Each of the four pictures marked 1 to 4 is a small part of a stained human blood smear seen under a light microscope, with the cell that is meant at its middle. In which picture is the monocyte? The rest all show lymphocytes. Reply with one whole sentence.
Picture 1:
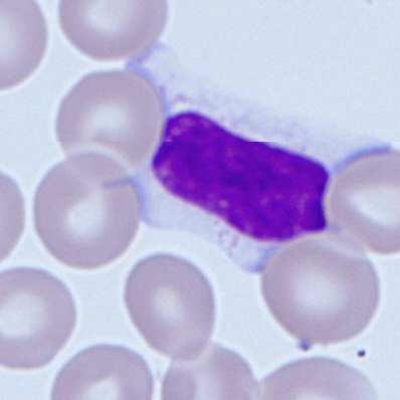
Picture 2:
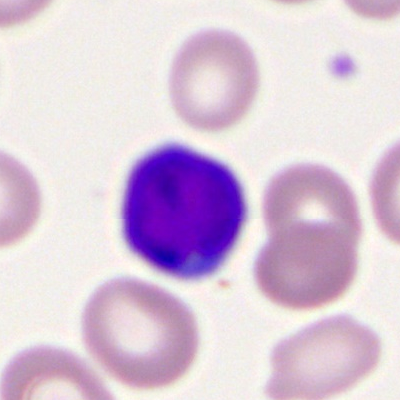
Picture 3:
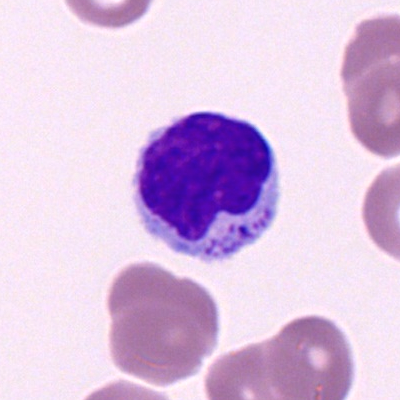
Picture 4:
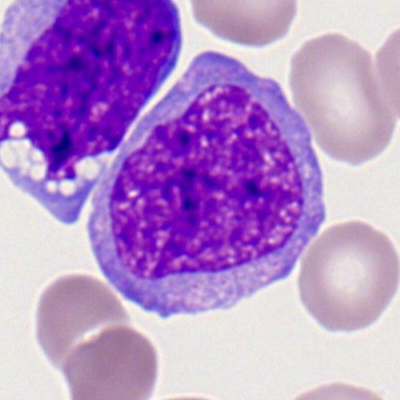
Picture 4 shows the monocyte.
